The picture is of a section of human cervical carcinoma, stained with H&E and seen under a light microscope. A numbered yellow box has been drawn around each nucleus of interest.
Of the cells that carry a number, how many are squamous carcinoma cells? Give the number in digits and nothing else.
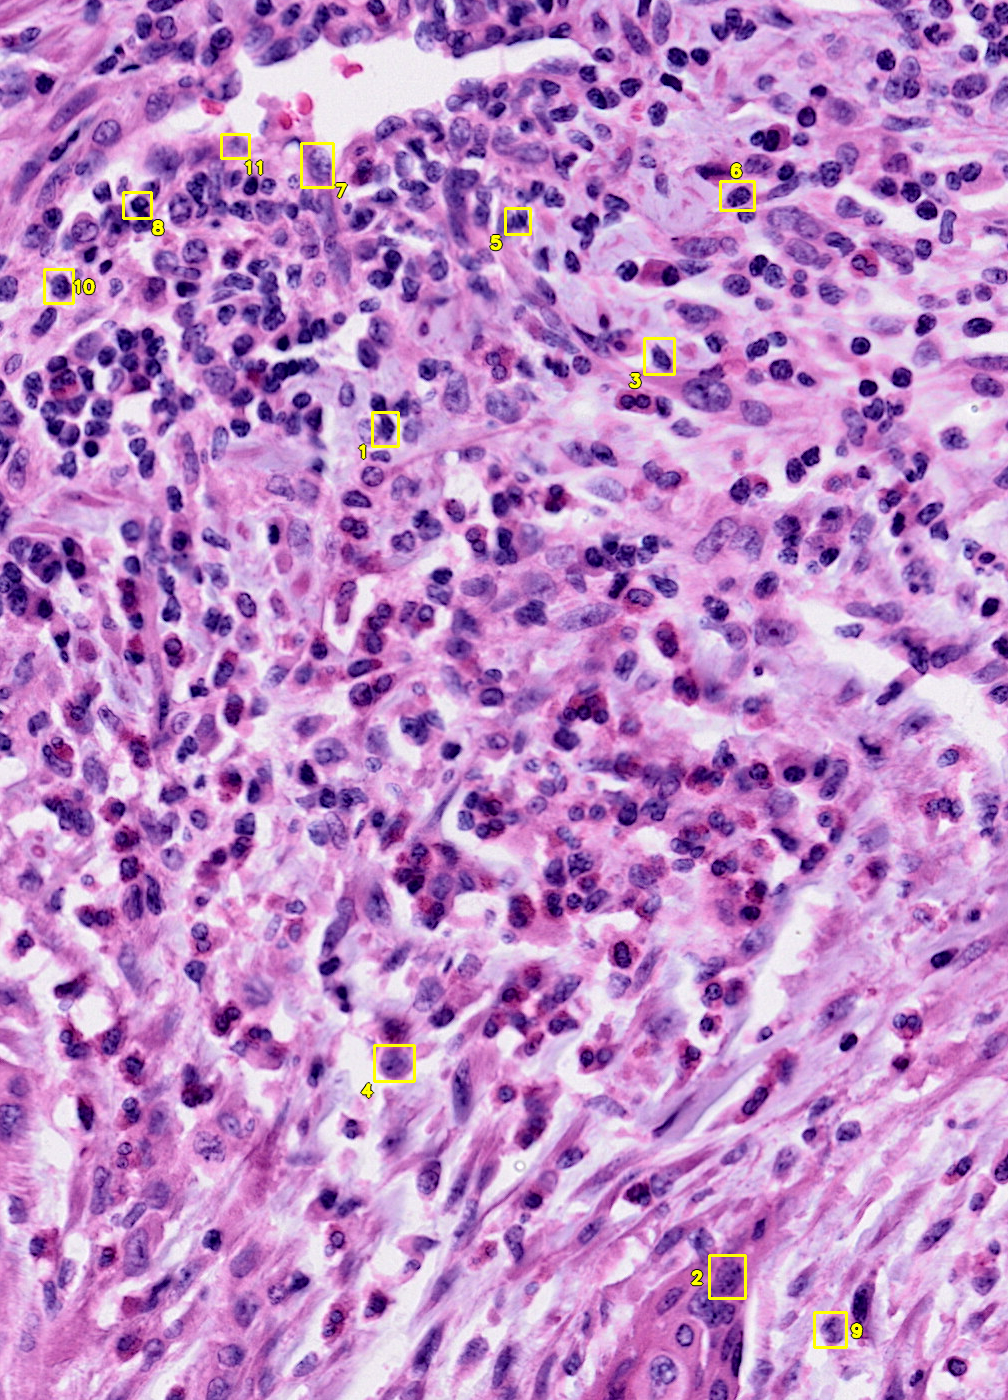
1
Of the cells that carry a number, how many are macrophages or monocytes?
2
